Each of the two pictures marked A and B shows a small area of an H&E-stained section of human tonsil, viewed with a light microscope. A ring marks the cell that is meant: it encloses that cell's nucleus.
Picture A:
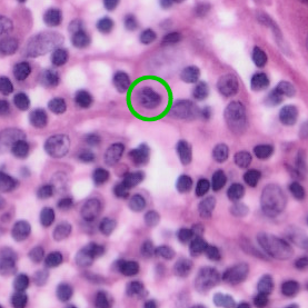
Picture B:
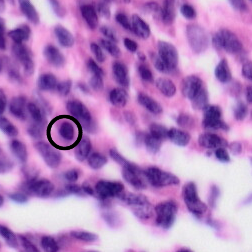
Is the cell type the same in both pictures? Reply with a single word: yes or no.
no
